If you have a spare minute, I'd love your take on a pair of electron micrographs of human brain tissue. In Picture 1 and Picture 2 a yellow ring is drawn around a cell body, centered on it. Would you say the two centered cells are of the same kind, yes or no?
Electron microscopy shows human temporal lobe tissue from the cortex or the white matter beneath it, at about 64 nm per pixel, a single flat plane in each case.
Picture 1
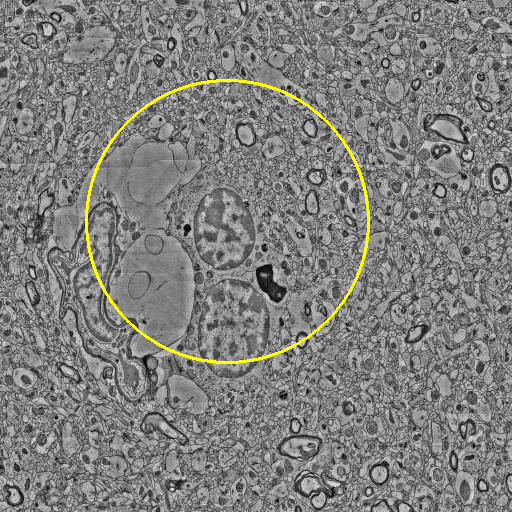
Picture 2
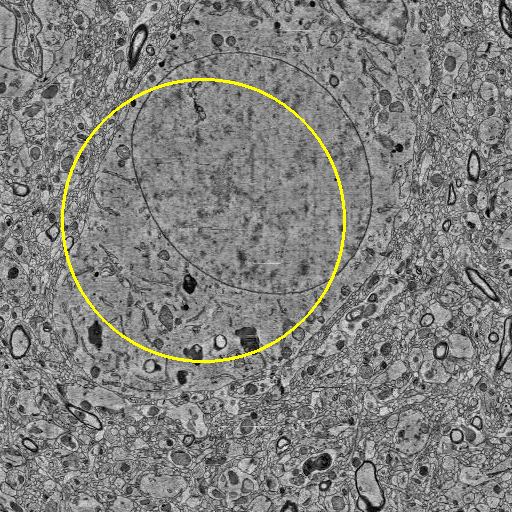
no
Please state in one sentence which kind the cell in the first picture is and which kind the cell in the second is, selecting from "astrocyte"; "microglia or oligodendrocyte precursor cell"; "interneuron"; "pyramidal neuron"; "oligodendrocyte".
The first ringed cell is an oligodendrocyte, the second ringed cell a pyramidal neuron.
